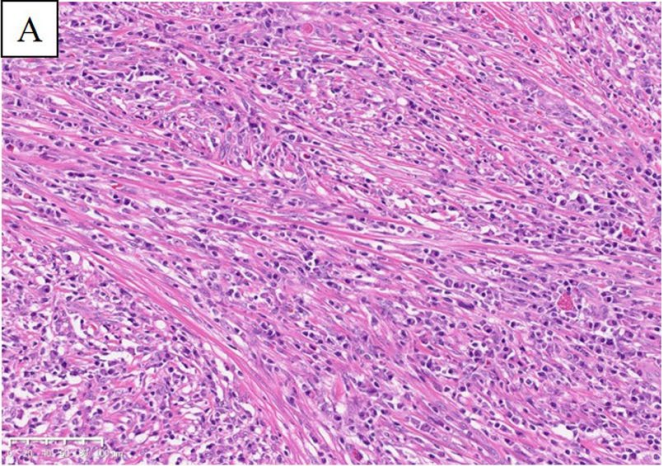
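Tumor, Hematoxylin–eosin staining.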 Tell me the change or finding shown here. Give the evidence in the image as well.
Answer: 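Densely packed elongated cells with oval to elongated nuclei. Cells arranged in long sweeping fascicles. Pink collagen strands run between the bundles. So: spindle cell proliferation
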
